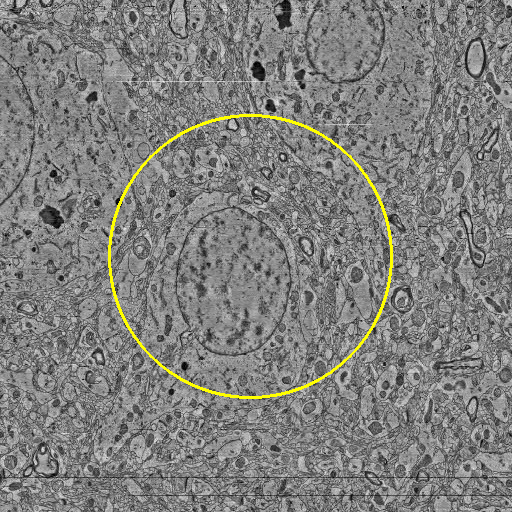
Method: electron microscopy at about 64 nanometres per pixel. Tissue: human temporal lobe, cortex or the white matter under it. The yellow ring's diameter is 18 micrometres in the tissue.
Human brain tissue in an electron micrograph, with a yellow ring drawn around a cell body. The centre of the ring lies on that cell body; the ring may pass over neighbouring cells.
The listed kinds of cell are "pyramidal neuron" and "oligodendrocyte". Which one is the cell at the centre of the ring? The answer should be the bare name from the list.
pyramidal neuron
